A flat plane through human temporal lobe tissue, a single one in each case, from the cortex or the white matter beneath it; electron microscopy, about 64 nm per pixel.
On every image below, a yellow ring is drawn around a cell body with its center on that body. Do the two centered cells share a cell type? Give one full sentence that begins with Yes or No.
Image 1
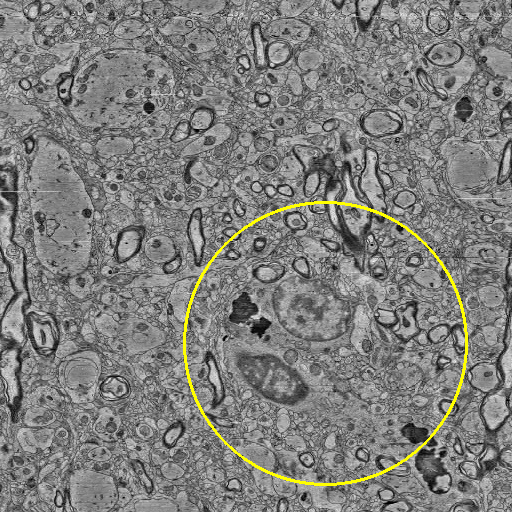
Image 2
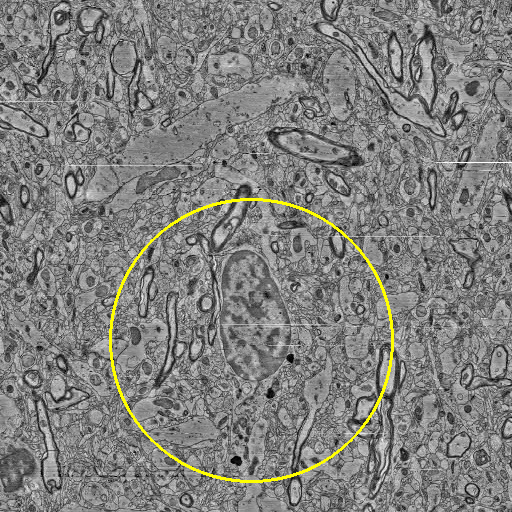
No, the centered cells in the two images are of two separate cell types.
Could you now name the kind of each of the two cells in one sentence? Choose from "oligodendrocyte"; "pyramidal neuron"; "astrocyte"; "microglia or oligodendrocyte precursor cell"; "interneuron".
The first ring encloses an oligodendrocyte; the second ring encloses a microglial cell or oligodendrocyte precursor cell.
